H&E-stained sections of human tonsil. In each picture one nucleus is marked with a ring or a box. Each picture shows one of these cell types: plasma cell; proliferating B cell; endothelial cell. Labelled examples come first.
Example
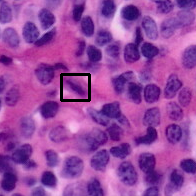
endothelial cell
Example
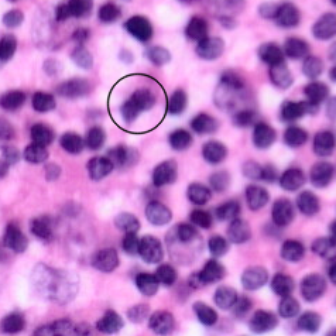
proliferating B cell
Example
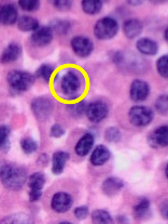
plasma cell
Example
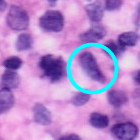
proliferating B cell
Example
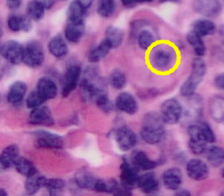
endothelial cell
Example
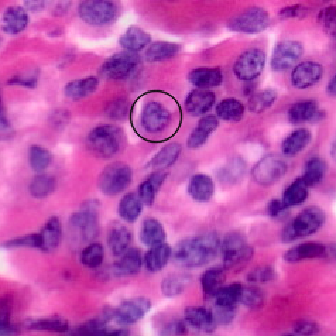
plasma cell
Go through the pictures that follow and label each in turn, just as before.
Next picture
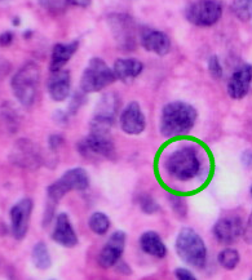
proliferating B cell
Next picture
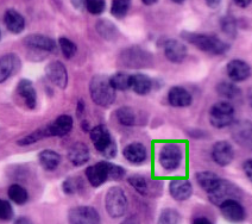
plasma cell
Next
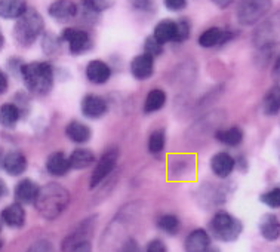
endothelial cell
